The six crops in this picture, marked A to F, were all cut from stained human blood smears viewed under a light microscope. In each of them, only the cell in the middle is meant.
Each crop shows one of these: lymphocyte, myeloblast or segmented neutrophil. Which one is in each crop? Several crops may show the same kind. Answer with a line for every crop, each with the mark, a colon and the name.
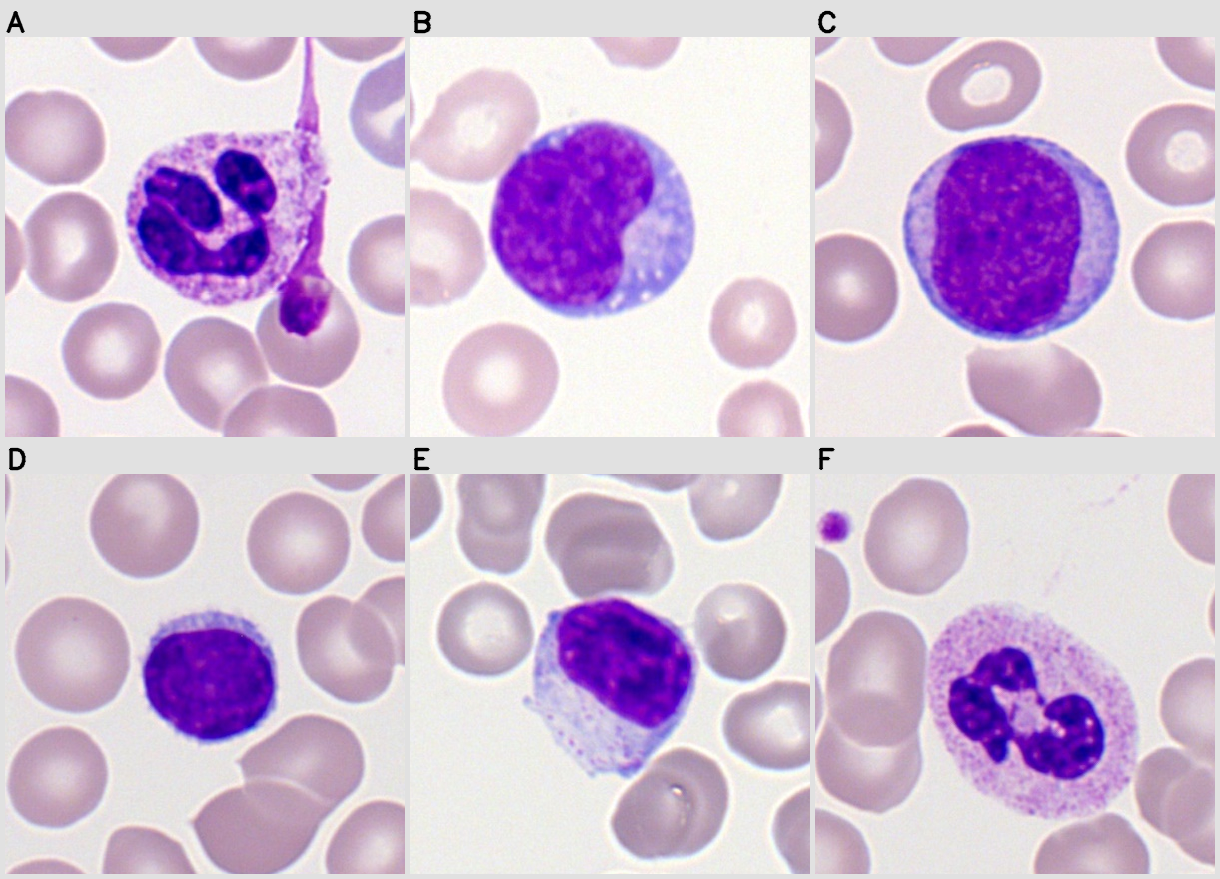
A: segmented neutrophil
B: myeloblast
C: myeloblast
D: lymphocyte
E: lymphocyte
F: segmented neutrophil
